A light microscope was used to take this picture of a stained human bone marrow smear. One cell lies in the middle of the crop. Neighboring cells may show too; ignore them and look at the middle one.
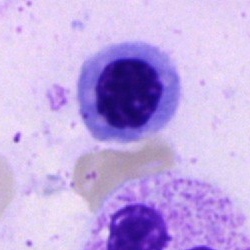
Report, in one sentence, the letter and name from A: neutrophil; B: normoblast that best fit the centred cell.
The cell at the centre, correctly named in option B, is a normoblast.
